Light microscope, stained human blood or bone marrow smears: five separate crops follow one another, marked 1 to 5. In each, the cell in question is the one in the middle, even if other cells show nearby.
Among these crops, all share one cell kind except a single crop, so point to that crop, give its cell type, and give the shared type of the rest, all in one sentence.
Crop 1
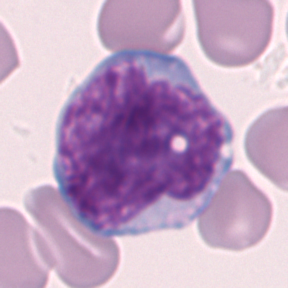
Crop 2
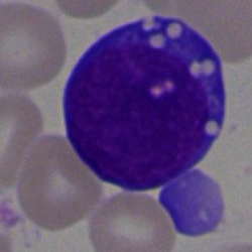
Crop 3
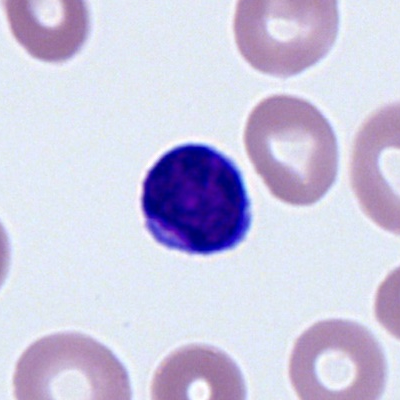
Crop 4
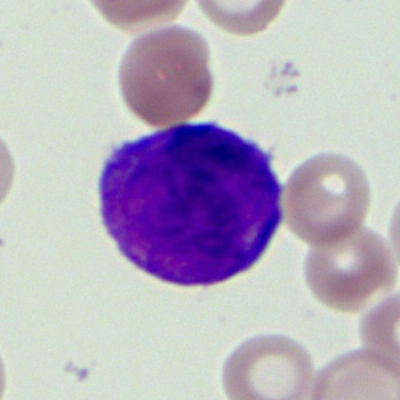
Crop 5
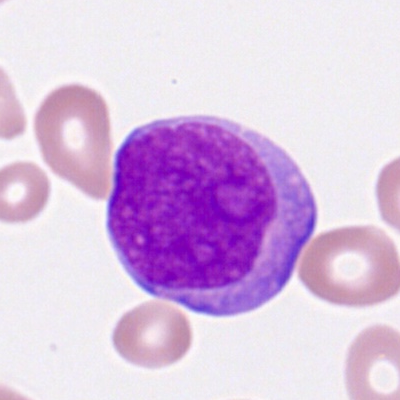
All the crops show blasts, barring crop 3, which is a lymphocyte.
